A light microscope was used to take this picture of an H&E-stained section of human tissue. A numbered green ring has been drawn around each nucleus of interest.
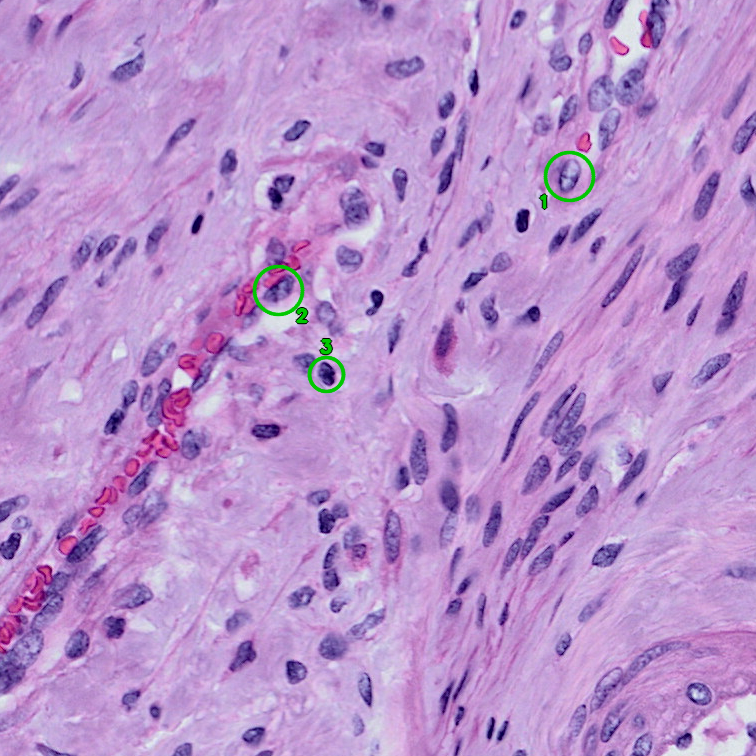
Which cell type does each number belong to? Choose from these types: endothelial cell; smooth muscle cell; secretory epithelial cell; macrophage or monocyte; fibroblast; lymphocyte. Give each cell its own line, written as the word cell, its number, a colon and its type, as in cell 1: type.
cell 1: endothelial cell
cell 2: endothelial cell
cell 3: lymphocyte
